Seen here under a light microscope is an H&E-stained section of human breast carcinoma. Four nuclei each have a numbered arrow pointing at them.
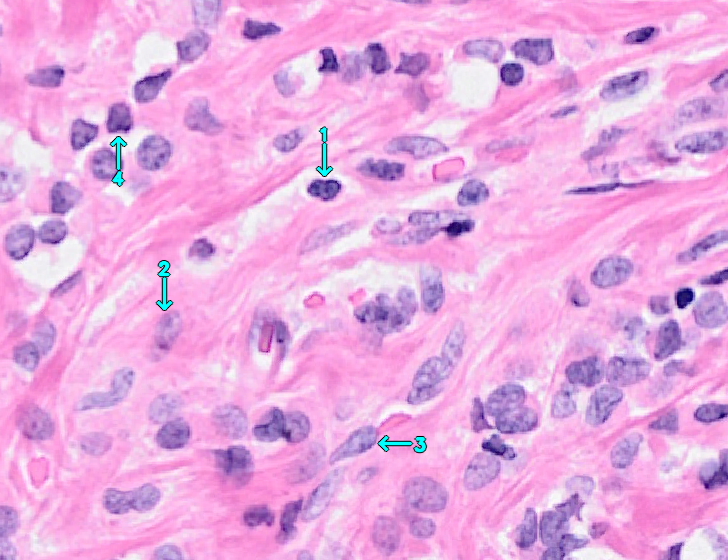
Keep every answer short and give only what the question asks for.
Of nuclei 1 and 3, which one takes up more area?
3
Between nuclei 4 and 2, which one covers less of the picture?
4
